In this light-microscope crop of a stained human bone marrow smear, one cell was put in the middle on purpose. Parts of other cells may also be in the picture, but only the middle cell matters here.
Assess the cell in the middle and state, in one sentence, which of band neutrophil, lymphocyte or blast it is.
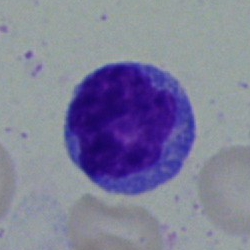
Seen at the centre of the crop is a blast.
